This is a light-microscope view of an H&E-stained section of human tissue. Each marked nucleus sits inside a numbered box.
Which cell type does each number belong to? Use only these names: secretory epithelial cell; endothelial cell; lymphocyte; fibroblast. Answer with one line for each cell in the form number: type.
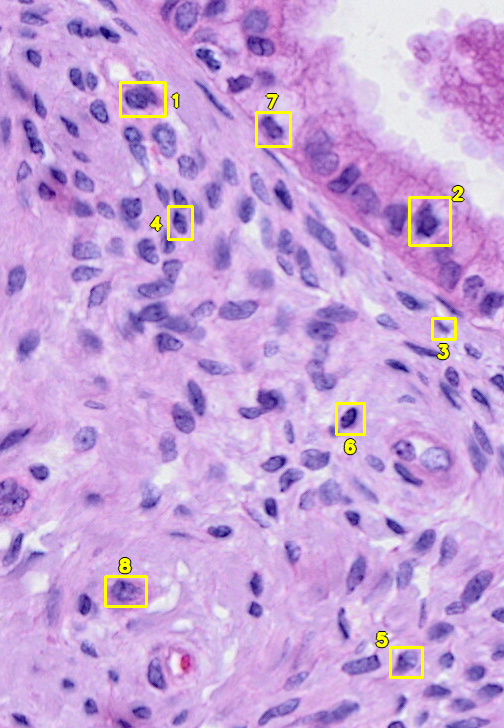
1: endothelial cell
2: secretory epithelial cell
3: fibroblast
4: fibroblast
5: fibroblast
6: lymphocyte
7: secretory epithelial cell
8: endothelial cell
